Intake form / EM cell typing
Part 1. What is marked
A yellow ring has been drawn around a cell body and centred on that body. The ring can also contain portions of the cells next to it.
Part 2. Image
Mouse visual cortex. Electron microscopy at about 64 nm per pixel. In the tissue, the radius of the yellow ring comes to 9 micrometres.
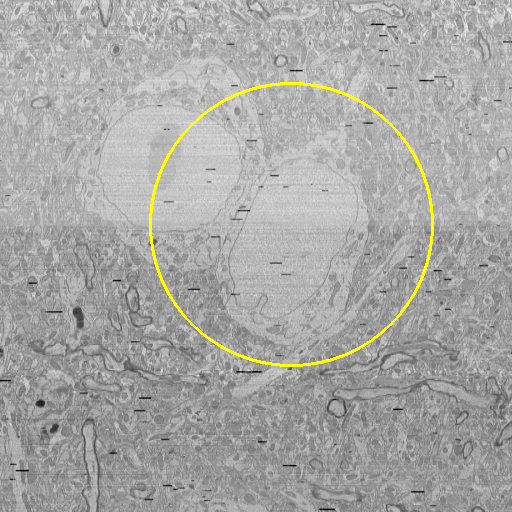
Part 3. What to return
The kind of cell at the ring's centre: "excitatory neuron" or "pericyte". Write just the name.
excitatory neuron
